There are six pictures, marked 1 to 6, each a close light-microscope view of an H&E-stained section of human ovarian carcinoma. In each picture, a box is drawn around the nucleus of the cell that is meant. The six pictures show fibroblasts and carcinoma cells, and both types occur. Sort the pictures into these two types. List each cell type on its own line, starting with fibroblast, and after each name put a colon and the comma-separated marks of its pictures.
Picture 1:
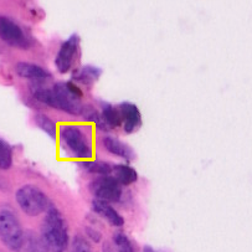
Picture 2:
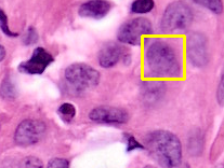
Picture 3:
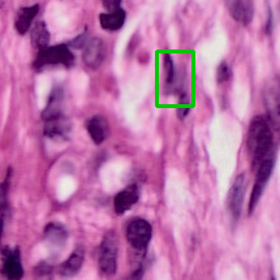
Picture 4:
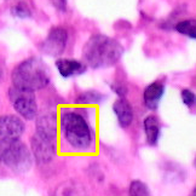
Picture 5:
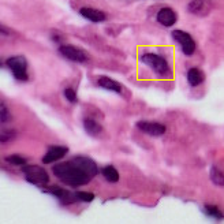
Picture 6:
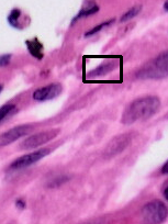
fibroblast: 3, 5, 6
carcinoma cell: 1, 2, 4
